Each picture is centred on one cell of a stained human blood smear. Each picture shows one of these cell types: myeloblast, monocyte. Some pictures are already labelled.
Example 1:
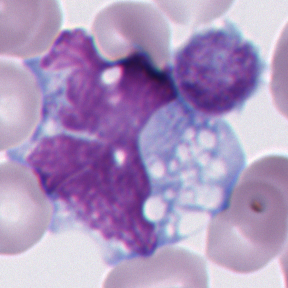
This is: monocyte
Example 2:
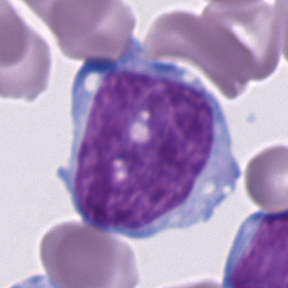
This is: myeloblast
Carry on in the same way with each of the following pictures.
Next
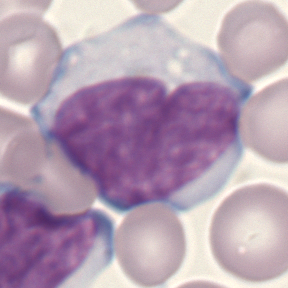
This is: myeloblast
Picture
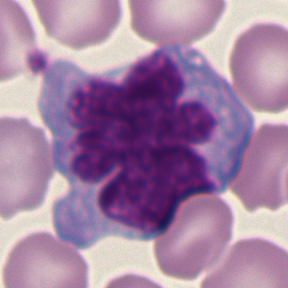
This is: monocyte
